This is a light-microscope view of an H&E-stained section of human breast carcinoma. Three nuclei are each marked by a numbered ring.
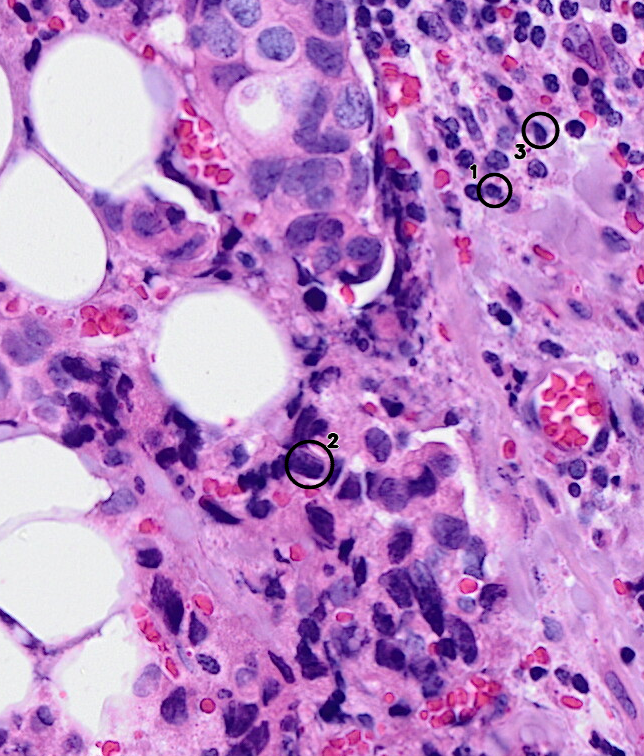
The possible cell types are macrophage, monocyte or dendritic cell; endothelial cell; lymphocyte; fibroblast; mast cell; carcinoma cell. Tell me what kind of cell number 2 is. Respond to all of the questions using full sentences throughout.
Regarding cell 2, this one is a carcinoma cell.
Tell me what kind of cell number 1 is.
Cell 1 should be recorded as a lymphocyte.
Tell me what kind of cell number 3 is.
Cell 3 is classified as a lymphocyte.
